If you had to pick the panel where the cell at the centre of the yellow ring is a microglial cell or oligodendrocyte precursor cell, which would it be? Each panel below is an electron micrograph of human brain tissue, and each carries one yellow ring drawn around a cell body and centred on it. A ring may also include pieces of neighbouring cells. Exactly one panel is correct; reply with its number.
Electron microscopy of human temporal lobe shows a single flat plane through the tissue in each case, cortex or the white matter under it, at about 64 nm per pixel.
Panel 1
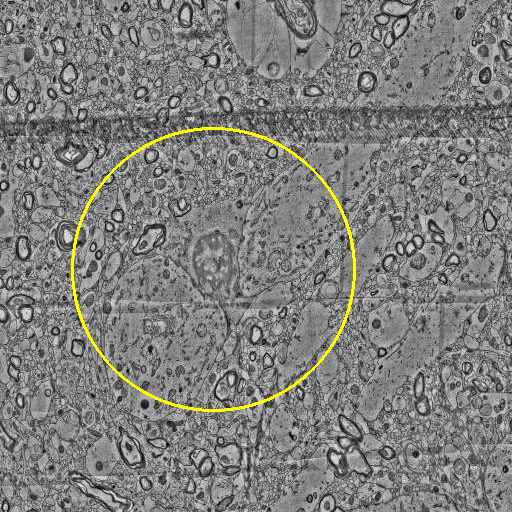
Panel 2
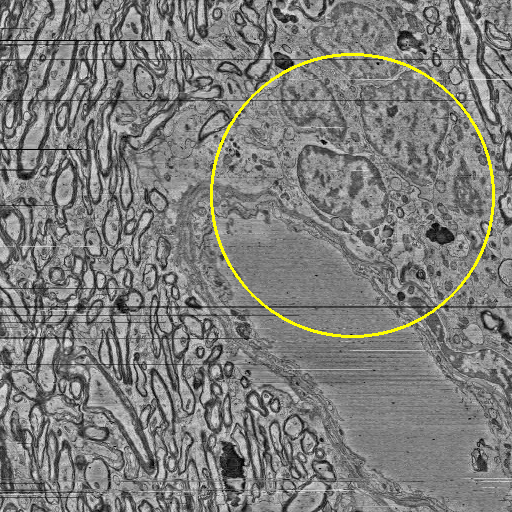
2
